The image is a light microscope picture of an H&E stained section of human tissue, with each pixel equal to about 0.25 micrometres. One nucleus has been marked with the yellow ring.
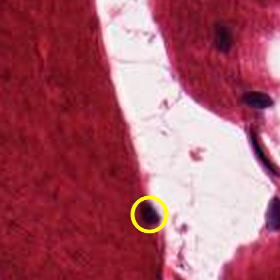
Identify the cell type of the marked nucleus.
skeletal muscle fibre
